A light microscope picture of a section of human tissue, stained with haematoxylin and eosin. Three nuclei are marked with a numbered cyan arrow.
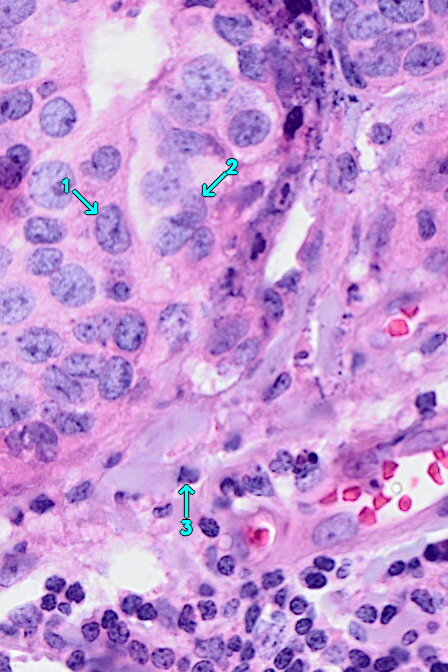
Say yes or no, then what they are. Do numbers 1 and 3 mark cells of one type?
No, cell 1 is recognized as a carcinoma cell, and cell 3 as a lymphocyte.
